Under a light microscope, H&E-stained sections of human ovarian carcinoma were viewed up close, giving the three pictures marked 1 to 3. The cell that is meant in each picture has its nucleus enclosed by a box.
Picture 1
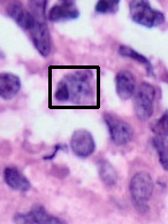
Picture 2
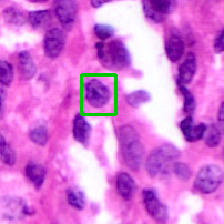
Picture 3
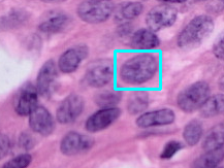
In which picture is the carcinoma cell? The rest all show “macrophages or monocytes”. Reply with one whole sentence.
The picture with the carcinoma cell is 3.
